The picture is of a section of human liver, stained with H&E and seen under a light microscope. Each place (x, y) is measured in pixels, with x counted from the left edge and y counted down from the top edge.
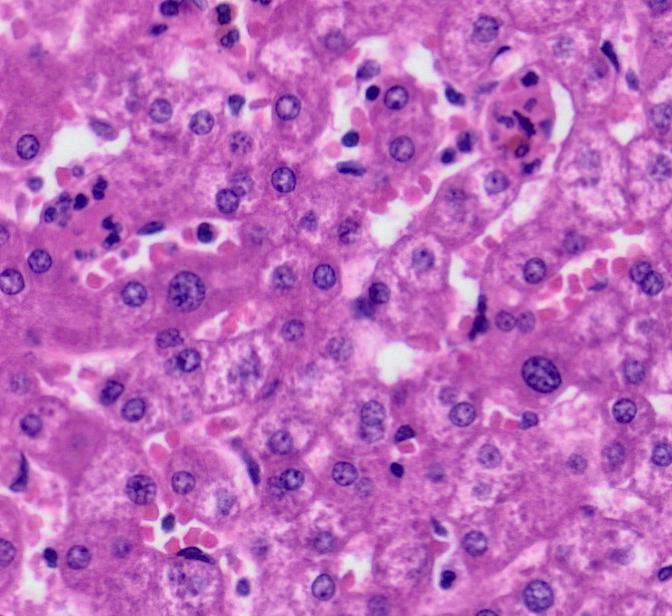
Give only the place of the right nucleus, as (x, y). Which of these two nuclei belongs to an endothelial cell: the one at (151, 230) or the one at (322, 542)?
(151, 230)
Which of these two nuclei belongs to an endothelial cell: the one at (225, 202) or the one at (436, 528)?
(436, 528)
